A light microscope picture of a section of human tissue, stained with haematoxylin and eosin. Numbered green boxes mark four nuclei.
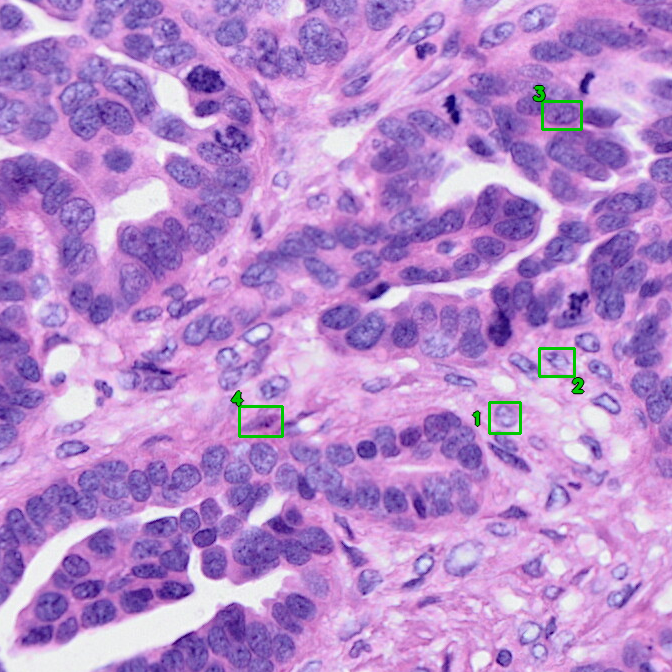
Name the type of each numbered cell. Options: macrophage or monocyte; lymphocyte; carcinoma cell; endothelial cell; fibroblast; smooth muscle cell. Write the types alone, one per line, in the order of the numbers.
fibroblast
fibroblast
carcinoma cell
fibroblast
